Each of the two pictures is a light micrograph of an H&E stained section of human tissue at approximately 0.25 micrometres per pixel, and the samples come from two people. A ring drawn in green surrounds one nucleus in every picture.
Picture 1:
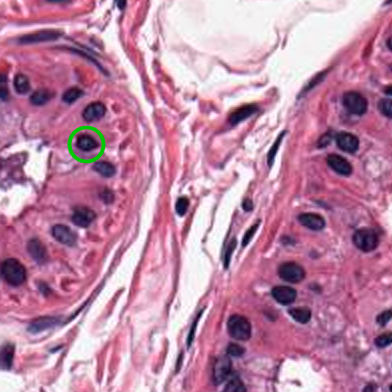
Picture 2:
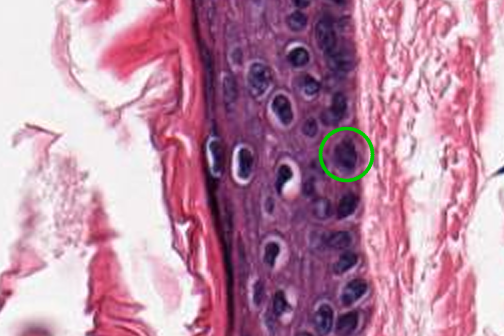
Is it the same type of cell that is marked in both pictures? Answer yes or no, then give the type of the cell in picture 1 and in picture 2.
No, the first is a sweat gland cell and the second a keratinocyte.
